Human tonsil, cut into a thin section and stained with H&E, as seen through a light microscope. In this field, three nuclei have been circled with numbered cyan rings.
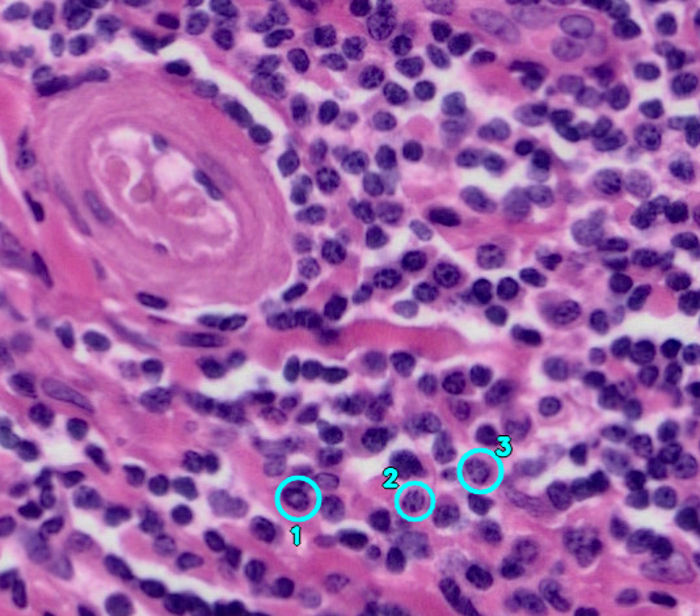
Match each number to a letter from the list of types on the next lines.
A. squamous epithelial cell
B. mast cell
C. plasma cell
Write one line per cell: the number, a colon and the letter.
1: C
2: B
3: C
